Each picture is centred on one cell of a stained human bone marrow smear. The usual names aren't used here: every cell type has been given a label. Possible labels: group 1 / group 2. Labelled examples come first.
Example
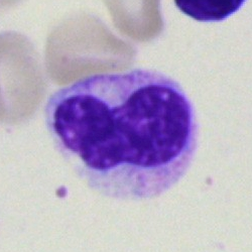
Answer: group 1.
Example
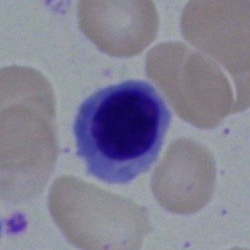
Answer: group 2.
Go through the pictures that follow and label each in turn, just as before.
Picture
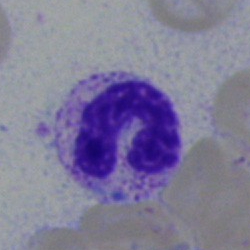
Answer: group 1.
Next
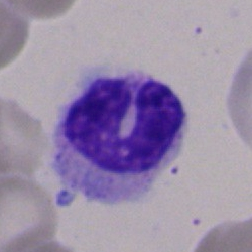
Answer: group 1.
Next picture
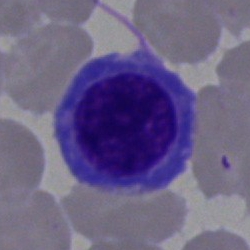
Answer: group 2.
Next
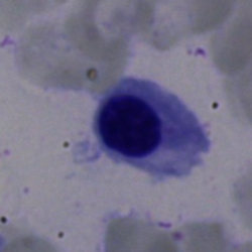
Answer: group 2.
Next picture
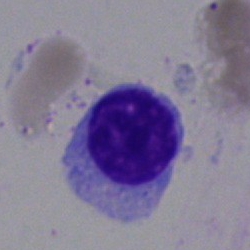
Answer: group 2.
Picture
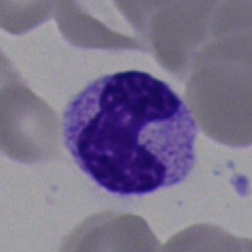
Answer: group 1.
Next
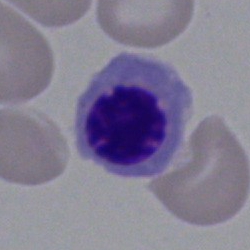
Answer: group 2.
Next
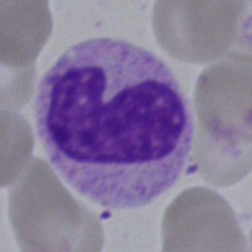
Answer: group 1.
